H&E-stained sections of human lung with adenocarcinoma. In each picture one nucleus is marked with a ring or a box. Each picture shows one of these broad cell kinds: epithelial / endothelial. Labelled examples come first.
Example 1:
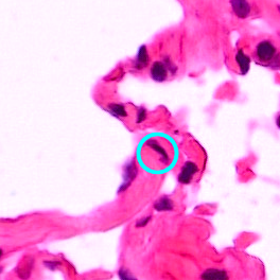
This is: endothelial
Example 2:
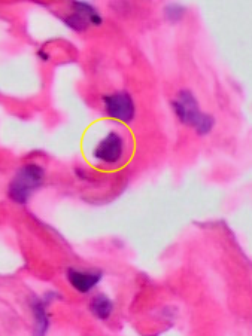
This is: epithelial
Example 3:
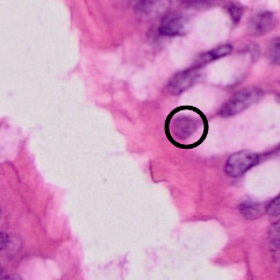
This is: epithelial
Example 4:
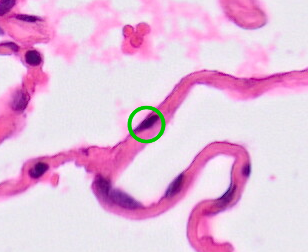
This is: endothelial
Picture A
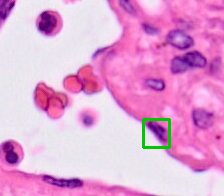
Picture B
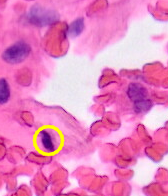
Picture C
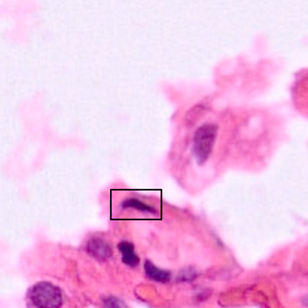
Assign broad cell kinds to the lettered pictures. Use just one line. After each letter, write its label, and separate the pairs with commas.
A endothelial, B endothelial, C endothelial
